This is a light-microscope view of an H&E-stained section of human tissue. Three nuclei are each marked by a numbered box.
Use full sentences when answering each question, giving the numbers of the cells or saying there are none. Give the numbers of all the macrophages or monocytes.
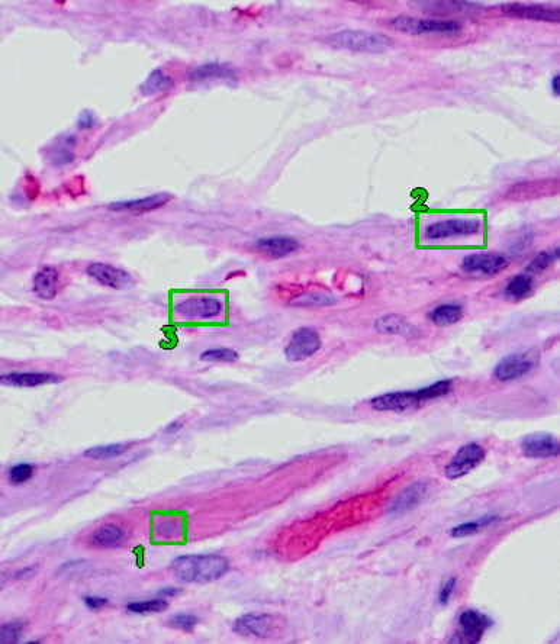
Into the category of macrophages or monocytes fall the cells numbered 2 and 3.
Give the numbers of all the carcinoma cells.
The correct answer is that none of the numbered cells are carcinoma cells.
